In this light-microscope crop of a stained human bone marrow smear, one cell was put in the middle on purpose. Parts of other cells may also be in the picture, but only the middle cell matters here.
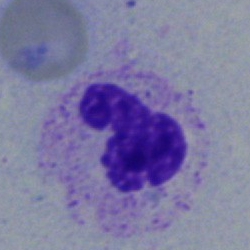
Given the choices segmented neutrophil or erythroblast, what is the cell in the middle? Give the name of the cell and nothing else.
segmented neutrophil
